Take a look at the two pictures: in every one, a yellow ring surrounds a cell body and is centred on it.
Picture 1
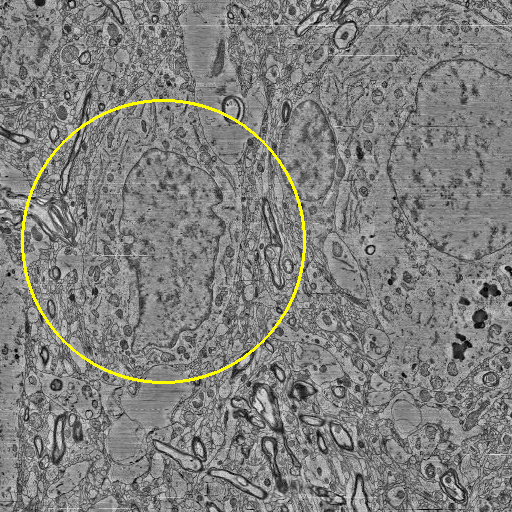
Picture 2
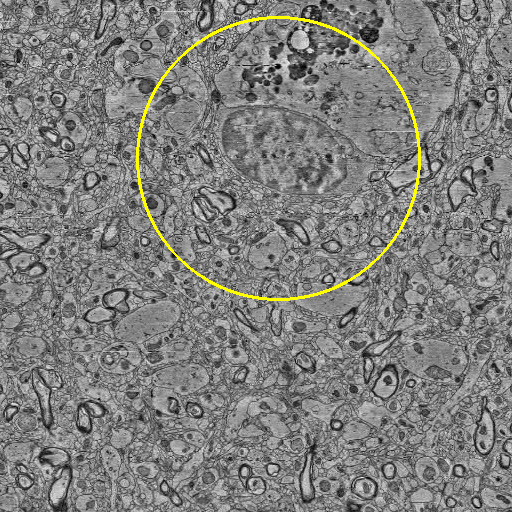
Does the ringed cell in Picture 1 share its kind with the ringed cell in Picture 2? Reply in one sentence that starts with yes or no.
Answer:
No, the two centred cells, one per picture, are of two kinds.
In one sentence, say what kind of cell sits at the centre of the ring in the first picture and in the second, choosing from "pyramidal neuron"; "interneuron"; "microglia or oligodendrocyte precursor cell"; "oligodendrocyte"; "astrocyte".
The first picture's ringed cell is an interneuron, while the second picture's is an oligodendrocyte.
